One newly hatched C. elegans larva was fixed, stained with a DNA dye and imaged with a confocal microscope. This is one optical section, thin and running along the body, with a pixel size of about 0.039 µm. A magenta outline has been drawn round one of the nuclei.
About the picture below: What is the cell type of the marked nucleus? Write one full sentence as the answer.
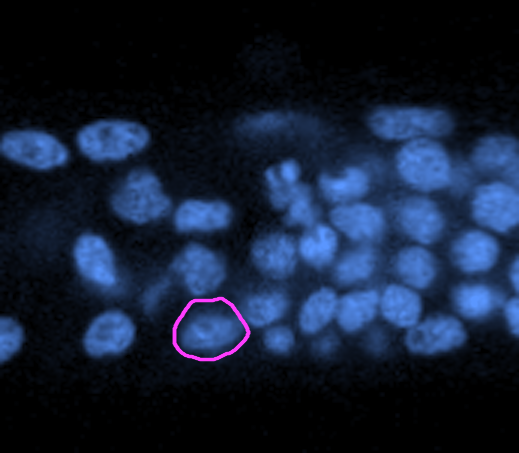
This nucleus is from a body wall muscle cell.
